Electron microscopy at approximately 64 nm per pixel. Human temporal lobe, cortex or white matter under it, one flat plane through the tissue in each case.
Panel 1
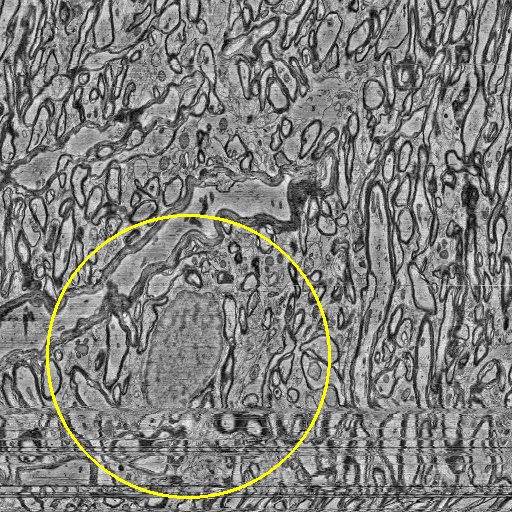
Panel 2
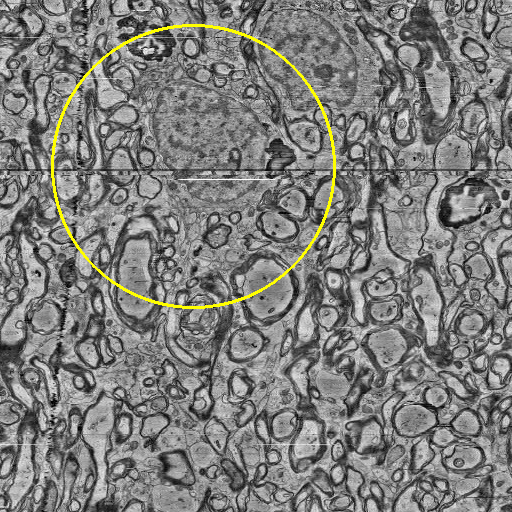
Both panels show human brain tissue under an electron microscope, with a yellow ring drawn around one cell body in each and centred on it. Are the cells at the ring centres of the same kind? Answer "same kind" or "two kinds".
same kind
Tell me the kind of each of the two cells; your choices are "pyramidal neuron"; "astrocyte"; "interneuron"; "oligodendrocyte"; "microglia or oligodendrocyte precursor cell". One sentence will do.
Both the first and the second picture show an oligodendrocyte in the ring.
